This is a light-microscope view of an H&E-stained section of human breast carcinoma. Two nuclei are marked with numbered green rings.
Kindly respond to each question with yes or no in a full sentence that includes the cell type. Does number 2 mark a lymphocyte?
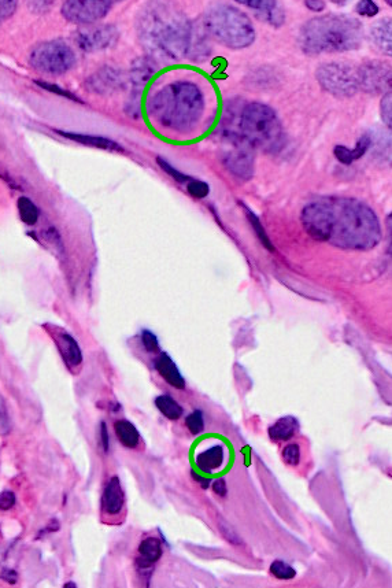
No, the right label for cell 2 is a carcinoma cell rather than a lymphocyte.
